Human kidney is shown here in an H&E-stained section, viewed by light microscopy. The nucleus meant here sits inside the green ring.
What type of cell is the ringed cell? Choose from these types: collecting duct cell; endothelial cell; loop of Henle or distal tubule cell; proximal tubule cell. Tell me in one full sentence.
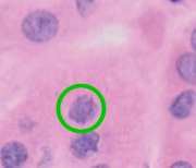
Cell type answer for this item: the ringed cell is a loop of Henle or distal tubule cell.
